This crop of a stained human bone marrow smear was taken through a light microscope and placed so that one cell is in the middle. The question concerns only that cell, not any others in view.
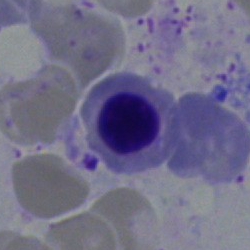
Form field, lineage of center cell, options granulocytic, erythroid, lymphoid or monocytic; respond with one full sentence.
The cell at the center of the crop is assigned erythroid lineage.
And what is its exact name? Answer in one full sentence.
The centrally placed cell is classified as an erythroblast.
